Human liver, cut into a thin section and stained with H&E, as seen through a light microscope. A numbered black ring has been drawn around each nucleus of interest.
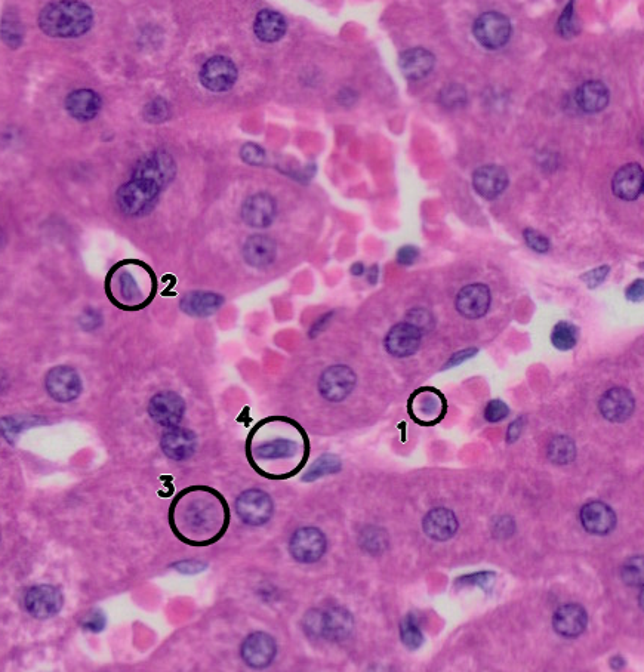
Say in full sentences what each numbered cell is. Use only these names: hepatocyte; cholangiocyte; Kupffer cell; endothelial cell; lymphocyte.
Cell 1 is a lymphocyte. Cells 2 and 4 are Kupffer cells. Cell 3 is a hepatocyte.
